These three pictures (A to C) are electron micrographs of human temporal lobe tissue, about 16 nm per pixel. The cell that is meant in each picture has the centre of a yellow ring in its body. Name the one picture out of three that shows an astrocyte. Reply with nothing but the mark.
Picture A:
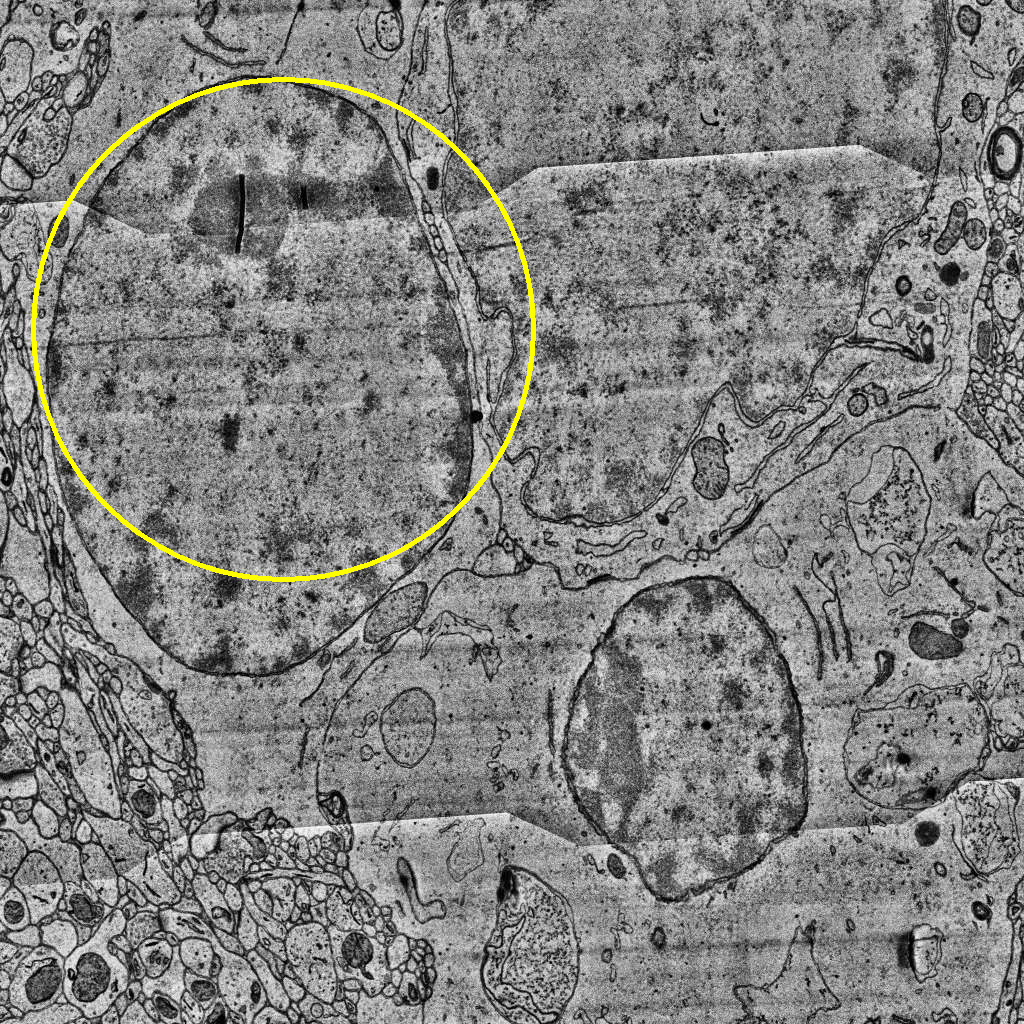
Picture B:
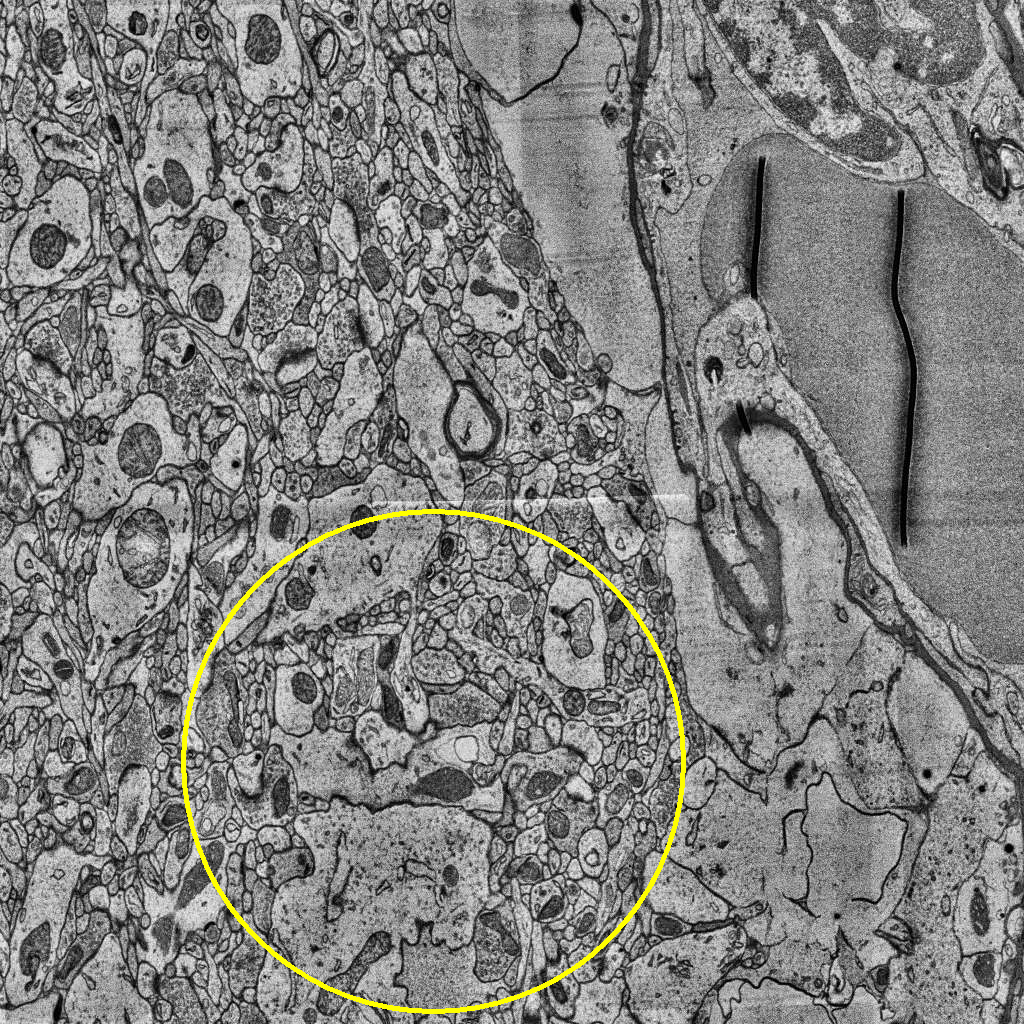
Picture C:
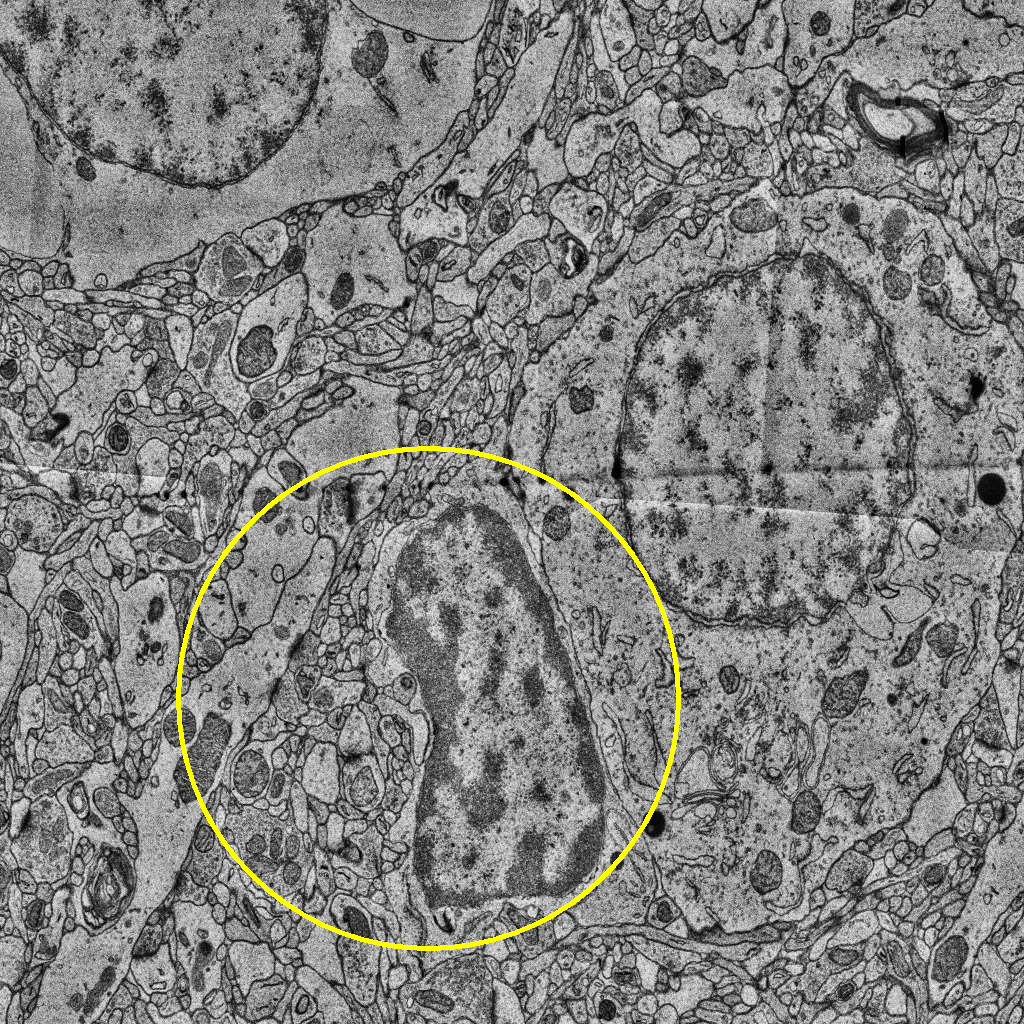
A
